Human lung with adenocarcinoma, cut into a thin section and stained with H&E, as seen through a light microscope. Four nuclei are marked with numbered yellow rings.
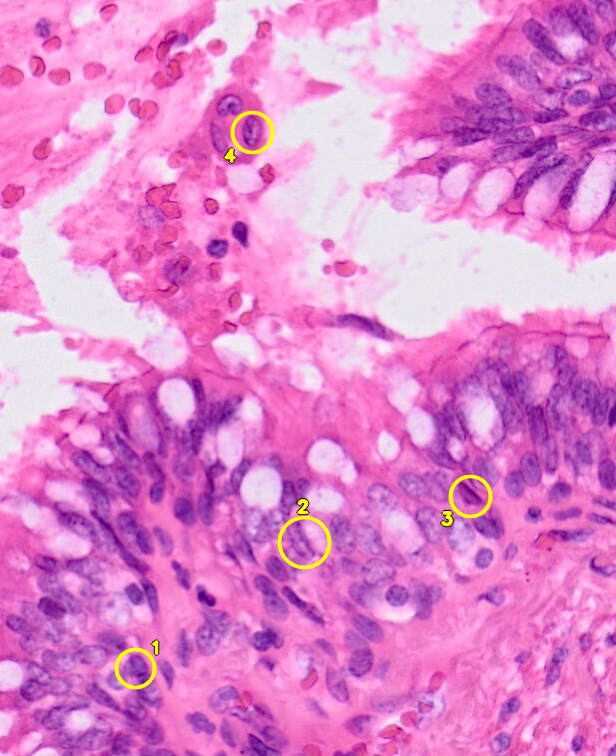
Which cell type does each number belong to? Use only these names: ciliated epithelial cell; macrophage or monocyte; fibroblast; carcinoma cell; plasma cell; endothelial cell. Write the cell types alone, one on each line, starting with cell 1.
ciliated epithelial cell
ciliated epithelial cell
ciliated epithelial cell
macrophage or monocyte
